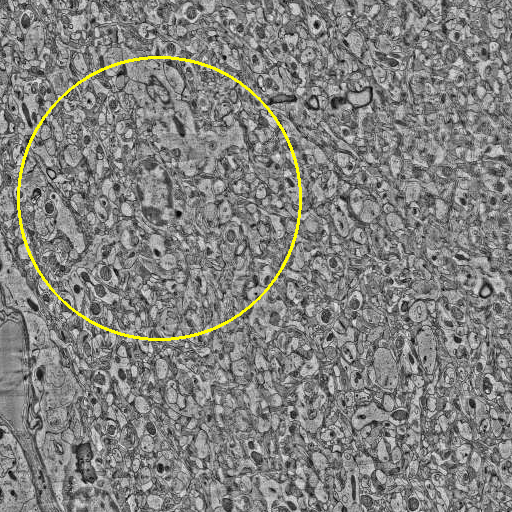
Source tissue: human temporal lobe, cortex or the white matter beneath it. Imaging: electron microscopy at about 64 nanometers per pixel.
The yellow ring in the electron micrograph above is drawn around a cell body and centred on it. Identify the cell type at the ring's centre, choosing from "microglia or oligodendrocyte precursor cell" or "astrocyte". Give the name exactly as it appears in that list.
microglia or oligodendrocyte precursor cell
